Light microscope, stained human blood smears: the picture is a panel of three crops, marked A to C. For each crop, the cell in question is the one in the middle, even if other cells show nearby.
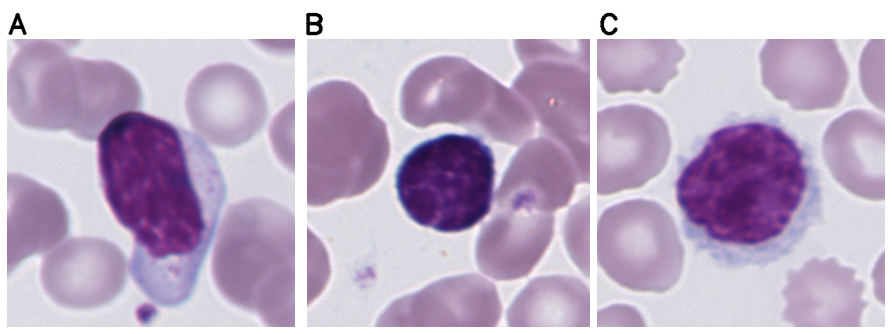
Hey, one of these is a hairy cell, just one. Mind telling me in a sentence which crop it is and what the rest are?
The middle cell of crop C is a hairy cell, while crop A is a large granular lymphocyte and crop B is a typical lymphocyte.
